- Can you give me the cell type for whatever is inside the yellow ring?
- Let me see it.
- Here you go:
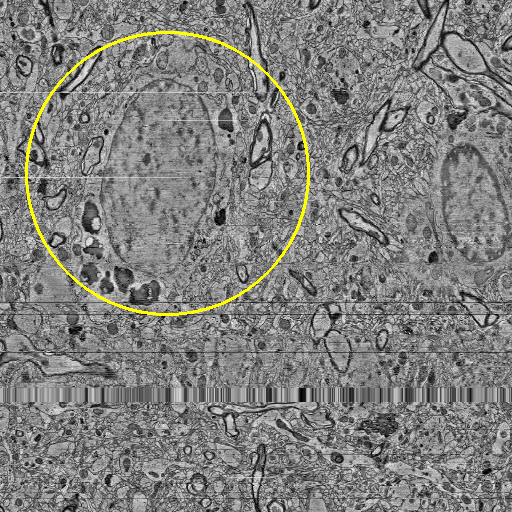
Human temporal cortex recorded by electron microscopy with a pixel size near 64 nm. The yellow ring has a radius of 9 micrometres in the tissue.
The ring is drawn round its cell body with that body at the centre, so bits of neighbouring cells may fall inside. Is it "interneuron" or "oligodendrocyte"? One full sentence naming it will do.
The cell body in the middle of the ring in this picture belongs to an interneuron.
